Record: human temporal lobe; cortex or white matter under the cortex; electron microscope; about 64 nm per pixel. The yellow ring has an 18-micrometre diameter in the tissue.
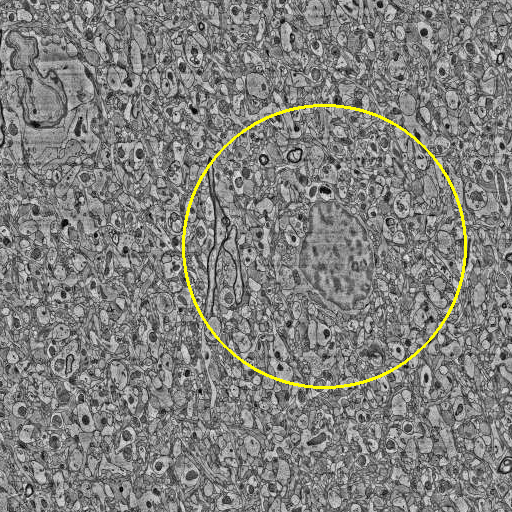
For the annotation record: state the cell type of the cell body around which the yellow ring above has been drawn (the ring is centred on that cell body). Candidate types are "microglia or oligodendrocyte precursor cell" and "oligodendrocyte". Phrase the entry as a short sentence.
The ringed cell is an oligodendrocyte.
